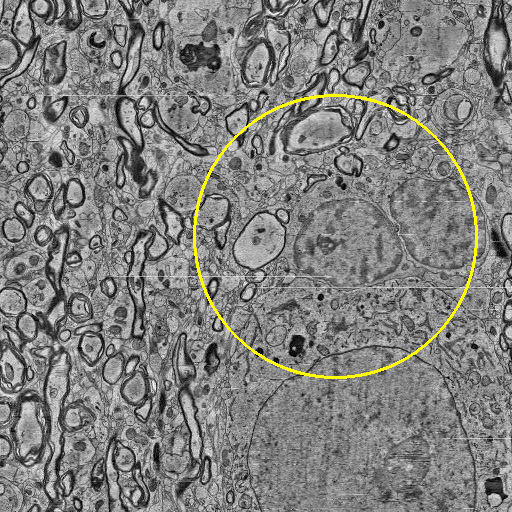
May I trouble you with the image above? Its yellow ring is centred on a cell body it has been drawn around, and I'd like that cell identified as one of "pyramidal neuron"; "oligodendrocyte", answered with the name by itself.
oligodendrocyte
